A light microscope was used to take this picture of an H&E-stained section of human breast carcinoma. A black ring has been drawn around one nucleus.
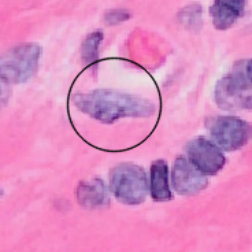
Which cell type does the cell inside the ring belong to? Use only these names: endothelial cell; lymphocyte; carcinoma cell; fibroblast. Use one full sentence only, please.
Just put down that the cell inside the ring is an endothelial cell.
